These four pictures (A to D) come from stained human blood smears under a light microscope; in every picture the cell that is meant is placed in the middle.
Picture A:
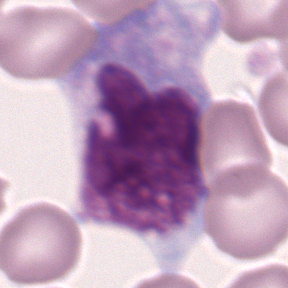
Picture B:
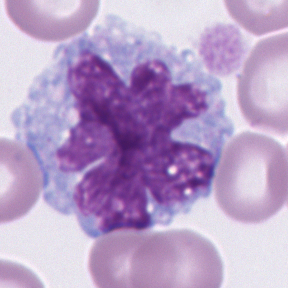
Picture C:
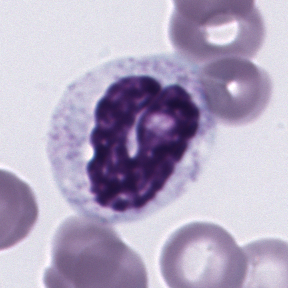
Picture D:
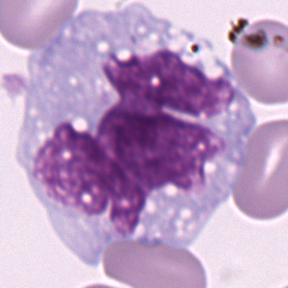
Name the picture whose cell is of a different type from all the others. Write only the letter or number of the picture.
C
